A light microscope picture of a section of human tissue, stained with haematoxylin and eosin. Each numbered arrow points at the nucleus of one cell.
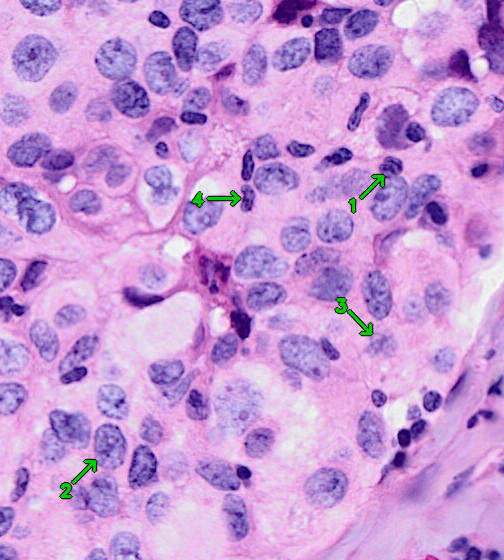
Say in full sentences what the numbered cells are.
Cells 1 and 4 are lymphocytes. Cells 2 and 3 are carcinoma cells.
